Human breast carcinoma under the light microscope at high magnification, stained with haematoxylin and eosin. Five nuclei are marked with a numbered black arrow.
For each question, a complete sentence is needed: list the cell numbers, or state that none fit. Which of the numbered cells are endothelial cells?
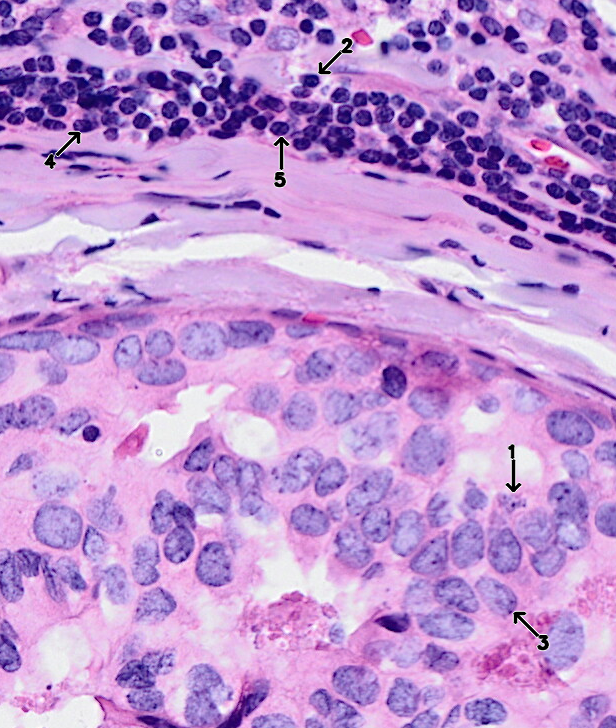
None of the numbered cells is one of the endothelial cells.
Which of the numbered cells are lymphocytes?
Marked by the numbers 2, 4 and 5 are cells that are lymphocytes.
